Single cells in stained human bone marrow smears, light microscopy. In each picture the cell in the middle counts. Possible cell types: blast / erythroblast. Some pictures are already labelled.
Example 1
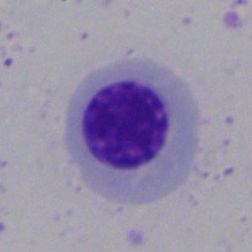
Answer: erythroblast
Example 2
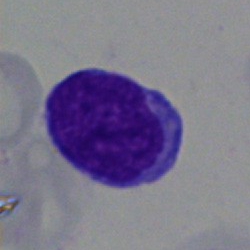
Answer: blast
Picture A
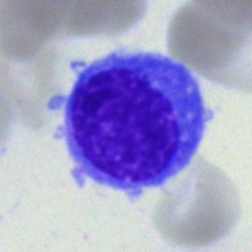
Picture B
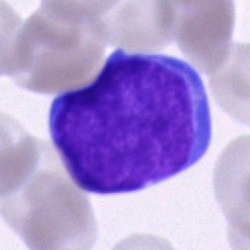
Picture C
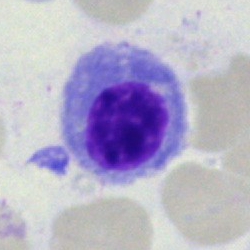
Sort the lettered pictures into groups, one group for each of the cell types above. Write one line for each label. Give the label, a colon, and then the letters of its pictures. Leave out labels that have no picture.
blast: A, B
erythroblast: C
